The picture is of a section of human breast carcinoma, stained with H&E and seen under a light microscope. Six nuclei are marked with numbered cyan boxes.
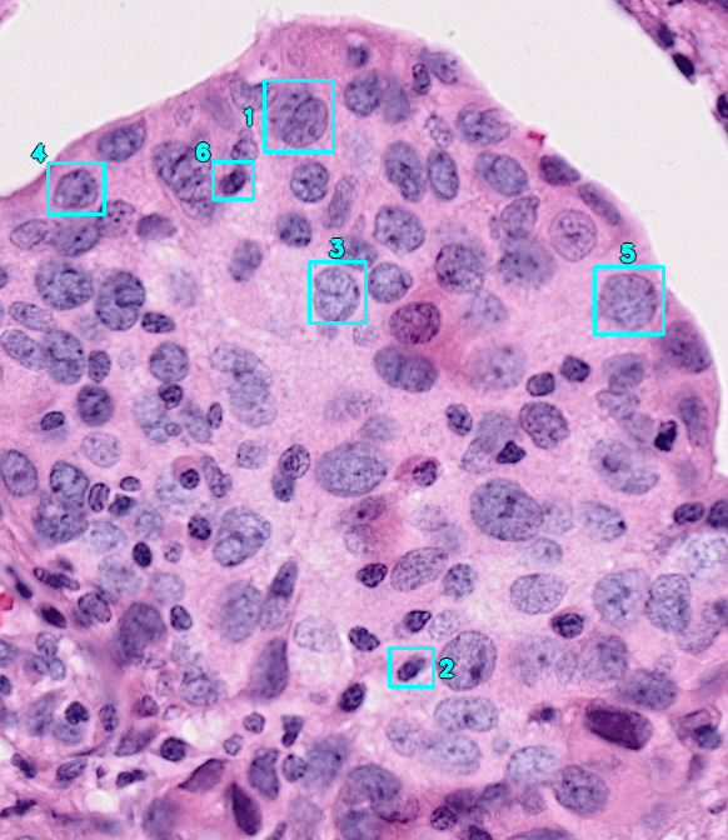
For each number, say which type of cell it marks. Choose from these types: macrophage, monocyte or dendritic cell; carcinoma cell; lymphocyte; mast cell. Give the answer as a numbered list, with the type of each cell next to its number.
1. carcinoma cell
2. lymphocyte
3. carcinoma cell
4. carcinoma cell
5. carcinoma cell
6. lymphocyte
